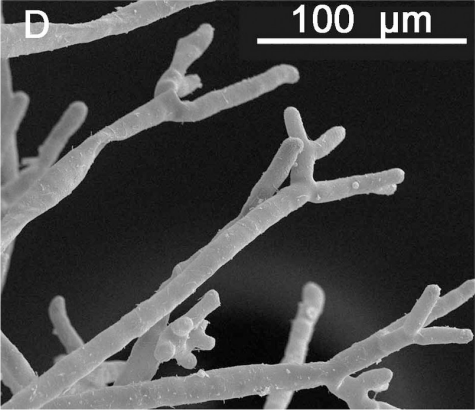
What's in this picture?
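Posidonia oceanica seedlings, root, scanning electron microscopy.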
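Several tips split into two or three short, blunt lobes with rounded ends. The surface of the hairs is mostly smooth but carries scattered small particles and fine threads. The hairs are of fairly uniform width along their length.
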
